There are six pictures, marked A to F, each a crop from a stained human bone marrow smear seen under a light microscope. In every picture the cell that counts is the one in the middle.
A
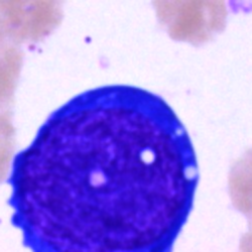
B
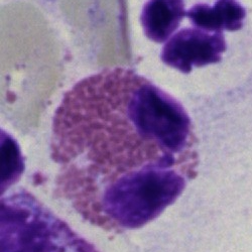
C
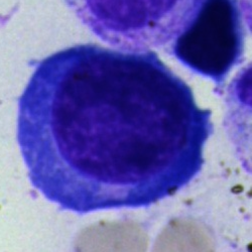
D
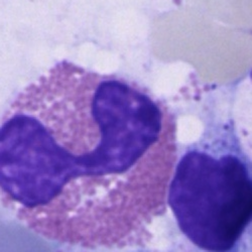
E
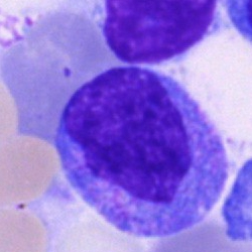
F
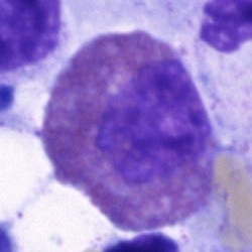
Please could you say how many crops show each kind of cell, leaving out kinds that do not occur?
eosinophil: 3
proerythroblast: 2
promyelocyte: 1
